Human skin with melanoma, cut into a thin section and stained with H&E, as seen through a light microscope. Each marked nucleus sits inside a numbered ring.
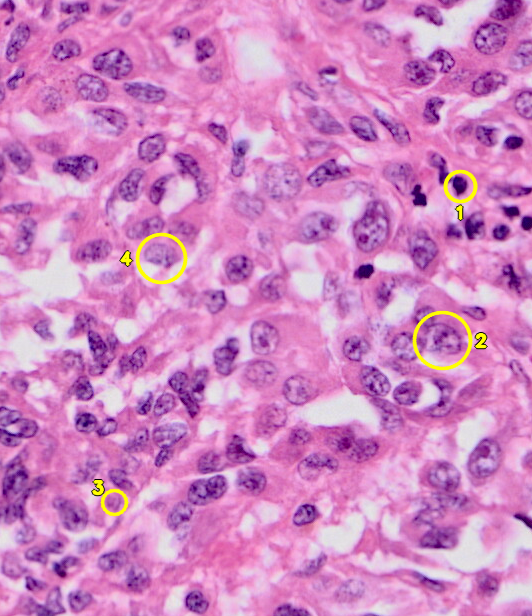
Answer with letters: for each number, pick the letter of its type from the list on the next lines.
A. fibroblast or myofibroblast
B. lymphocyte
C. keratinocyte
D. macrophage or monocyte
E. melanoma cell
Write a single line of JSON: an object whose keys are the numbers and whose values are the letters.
{"1": "B", "2": "E", "3": "E", "4": "E"}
